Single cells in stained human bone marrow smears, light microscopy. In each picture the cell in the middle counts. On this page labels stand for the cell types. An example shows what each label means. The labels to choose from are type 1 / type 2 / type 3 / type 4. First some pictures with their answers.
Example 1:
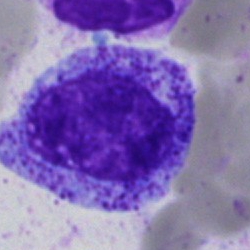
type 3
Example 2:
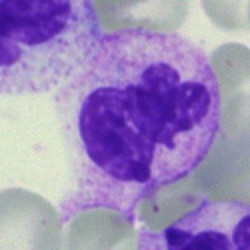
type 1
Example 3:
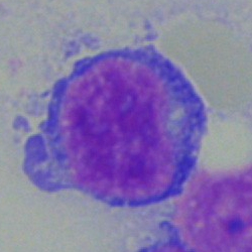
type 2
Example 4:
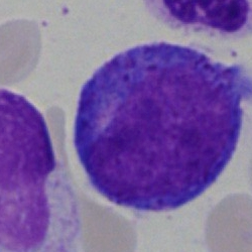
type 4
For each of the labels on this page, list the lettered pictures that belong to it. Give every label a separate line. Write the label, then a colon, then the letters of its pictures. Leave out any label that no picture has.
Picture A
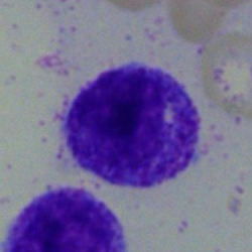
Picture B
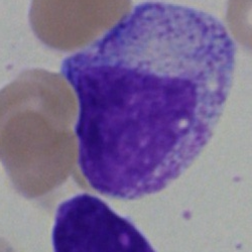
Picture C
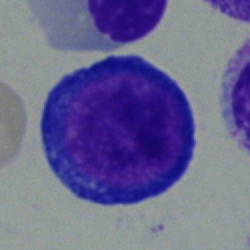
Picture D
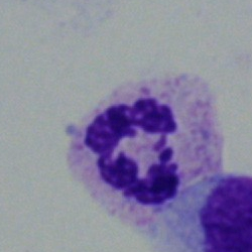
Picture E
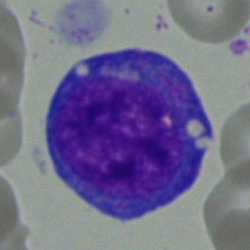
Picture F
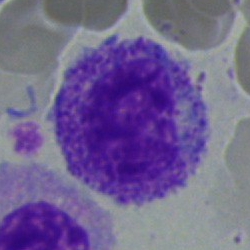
type 1: D
type 2: C
type 3: A, B, F
type 4: E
